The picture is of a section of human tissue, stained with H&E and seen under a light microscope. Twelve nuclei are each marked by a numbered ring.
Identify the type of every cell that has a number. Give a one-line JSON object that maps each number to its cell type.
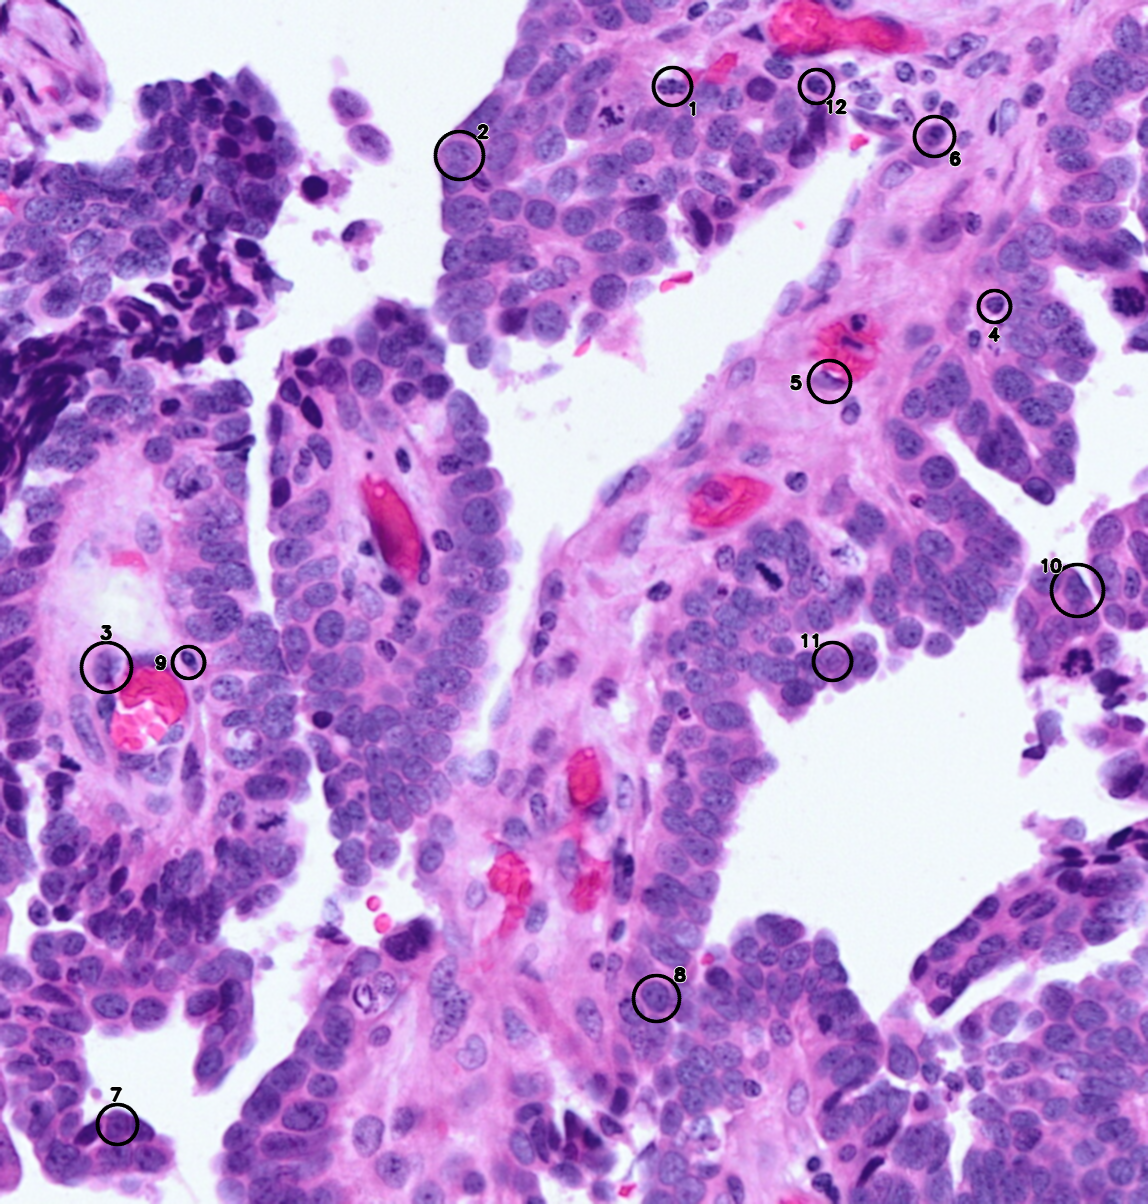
{"1": "lymphocyte", "2": "carcinoma cell", "3": "endothelial cell", "4": "lymphocyte", "5": "endothelial cell", "6": "lymphocyte", "7": "carcinoma cell", "8": "carcinoma cell", "9": "lymphocyte", "10": "carcinoma cell", "11": "carcinoma cell", "12": "lymphocyte"}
